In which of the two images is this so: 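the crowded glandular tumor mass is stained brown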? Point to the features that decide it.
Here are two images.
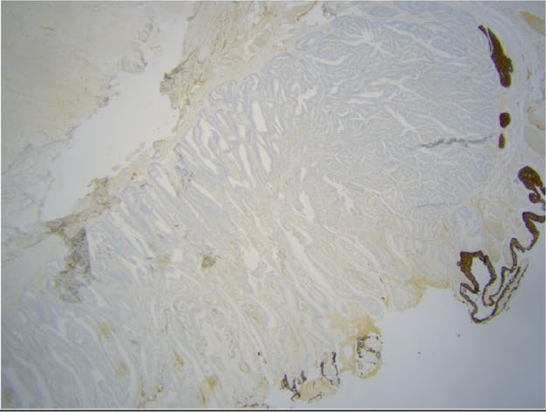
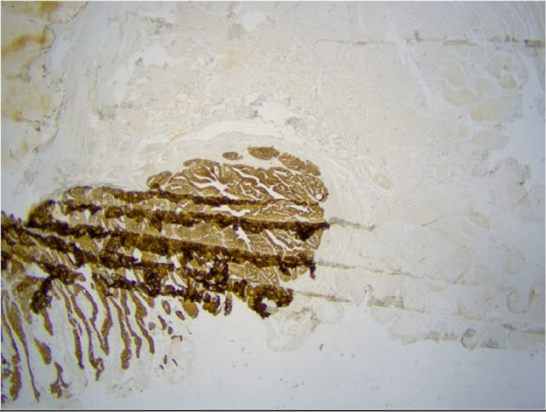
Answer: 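The second image. First image: the glandular mass is pale, only a thin lining at the edge is brown. Second image: the glandular mass is strongly brown.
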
